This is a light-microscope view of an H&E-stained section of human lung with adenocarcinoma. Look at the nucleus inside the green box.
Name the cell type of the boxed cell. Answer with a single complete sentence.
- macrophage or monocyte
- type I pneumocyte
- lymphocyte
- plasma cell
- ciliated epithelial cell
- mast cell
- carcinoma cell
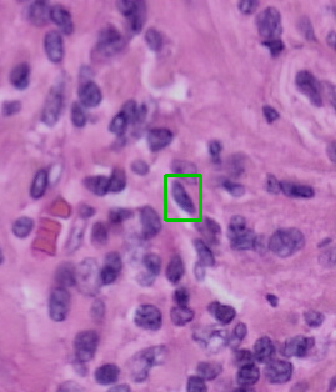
This is a lymphocyte.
